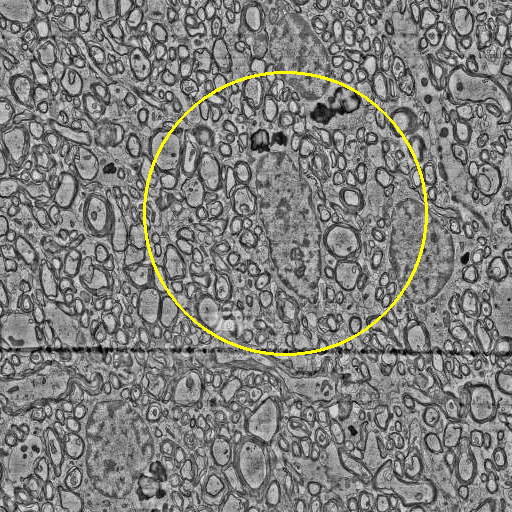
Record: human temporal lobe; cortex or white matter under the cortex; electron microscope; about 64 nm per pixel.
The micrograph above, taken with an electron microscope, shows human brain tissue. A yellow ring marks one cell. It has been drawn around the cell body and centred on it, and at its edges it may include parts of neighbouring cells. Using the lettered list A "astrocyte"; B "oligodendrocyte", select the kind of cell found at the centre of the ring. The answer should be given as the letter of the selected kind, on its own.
B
